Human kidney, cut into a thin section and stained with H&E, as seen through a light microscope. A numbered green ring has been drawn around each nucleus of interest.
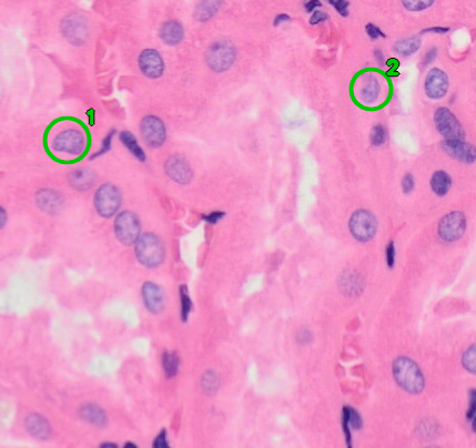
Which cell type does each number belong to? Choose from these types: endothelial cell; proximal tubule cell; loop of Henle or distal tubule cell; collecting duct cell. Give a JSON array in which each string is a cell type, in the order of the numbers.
["proximal tubule cell", "collecting duct cell"]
